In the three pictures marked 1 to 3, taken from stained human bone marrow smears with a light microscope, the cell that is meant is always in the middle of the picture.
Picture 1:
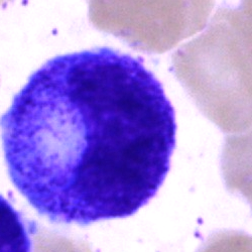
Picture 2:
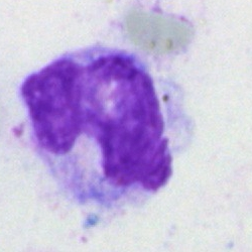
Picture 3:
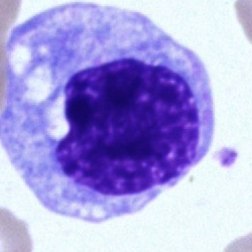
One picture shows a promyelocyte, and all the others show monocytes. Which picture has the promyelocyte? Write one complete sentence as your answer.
The promyelocyte is the one in picture 1.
